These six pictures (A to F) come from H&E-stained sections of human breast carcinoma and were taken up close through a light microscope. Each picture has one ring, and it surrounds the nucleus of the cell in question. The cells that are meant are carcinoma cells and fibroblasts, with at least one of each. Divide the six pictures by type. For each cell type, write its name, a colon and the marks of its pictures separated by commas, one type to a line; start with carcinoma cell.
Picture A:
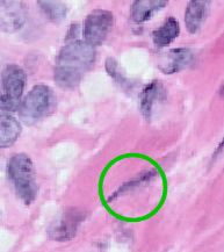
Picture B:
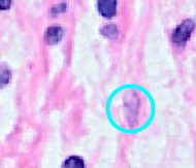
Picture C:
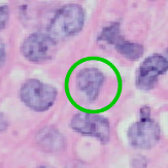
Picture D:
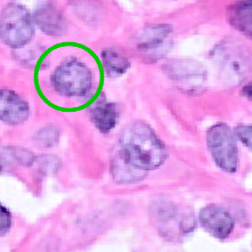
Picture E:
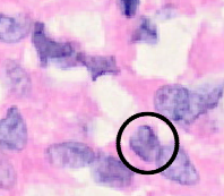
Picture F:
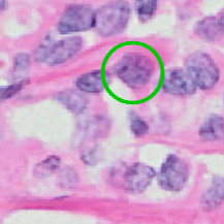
carcinoma cell: C, D, E, F
fibroblast: A, B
